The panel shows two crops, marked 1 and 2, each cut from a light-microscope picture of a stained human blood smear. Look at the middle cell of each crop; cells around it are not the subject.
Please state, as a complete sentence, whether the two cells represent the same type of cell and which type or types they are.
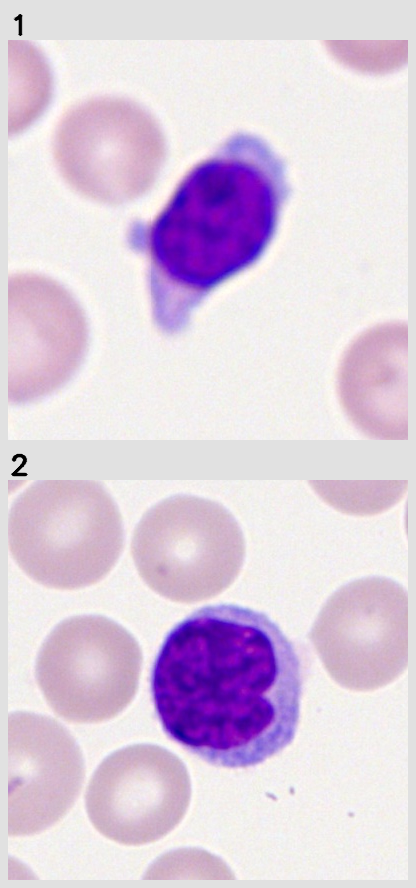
Yes, they do, both crops show lymphocytes.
